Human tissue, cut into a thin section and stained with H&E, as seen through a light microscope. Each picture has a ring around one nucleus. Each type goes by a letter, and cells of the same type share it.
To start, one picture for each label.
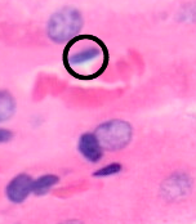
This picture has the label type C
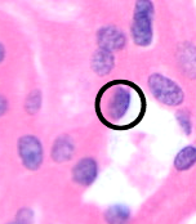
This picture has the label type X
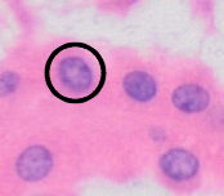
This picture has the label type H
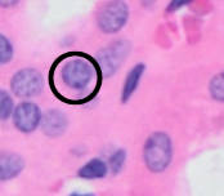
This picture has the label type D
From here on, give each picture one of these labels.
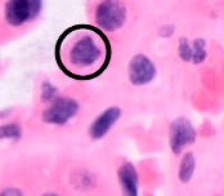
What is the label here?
type X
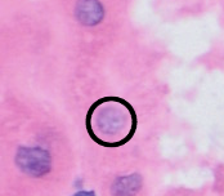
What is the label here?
type H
